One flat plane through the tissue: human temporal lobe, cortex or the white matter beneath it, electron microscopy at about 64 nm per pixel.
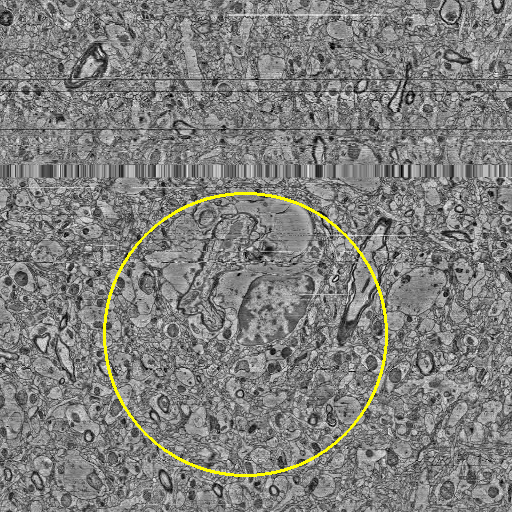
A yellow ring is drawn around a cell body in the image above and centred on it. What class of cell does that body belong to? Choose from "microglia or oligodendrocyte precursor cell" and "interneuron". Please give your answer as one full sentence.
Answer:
The yellow ring above is centred on the cell body of a microglial cell or oligodendrocyte precursor cell.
